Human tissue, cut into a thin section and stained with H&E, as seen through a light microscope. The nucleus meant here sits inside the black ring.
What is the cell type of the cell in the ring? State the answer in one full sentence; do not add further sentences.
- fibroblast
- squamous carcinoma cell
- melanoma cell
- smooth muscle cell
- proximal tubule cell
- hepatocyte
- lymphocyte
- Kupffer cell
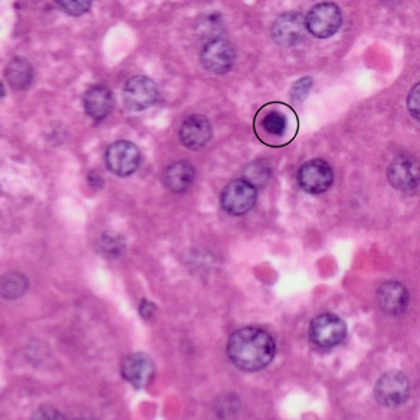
As for its identity, the cell in the ring is a lymphocyte.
